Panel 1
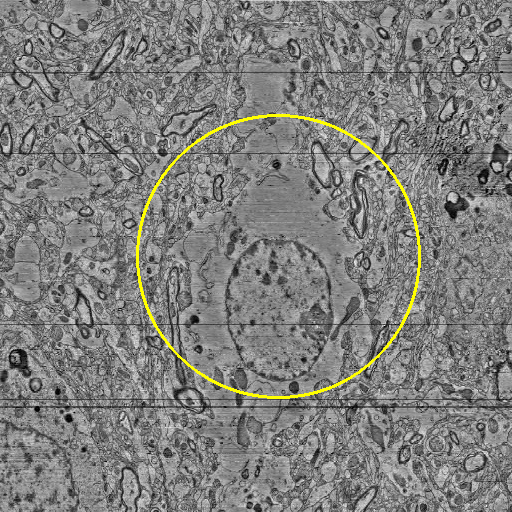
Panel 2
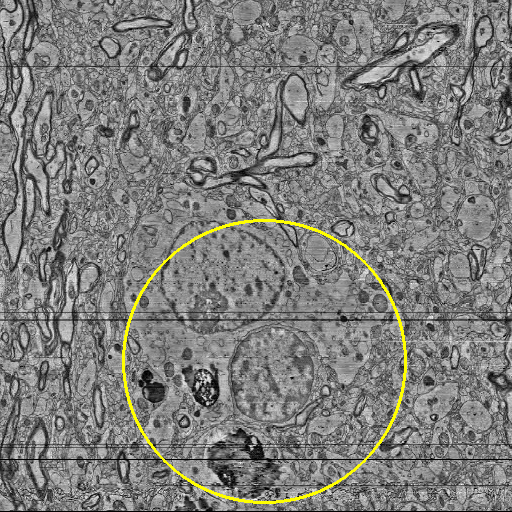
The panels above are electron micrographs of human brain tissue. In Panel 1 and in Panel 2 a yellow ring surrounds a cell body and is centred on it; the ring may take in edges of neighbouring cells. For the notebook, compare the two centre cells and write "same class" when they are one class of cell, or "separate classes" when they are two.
separate classes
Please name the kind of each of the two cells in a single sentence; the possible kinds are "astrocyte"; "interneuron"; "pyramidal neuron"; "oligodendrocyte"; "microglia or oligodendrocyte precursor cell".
In the first picture the ring is centred on an astrocyte, and in the second on an oligodendrocyte.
